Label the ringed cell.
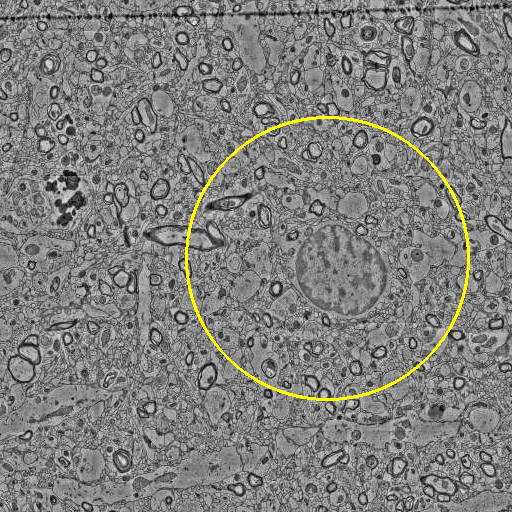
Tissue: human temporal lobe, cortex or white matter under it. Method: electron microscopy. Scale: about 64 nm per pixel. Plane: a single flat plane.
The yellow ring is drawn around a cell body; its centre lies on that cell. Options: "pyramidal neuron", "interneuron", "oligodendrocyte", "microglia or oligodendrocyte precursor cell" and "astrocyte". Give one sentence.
The ringed cell is an oligodendrocyte.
